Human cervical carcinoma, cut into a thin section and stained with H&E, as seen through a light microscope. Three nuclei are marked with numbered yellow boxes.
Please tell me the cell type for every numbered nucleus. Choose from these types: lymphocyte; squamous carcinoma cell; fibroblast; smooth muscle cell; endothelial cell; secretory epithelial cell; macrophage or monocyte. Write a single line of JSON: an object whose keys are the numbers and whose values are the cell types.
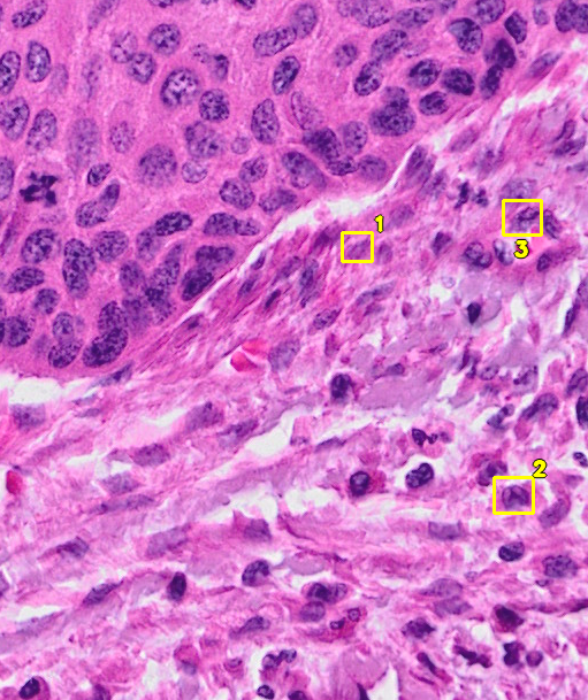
{"1": "fibroblast", "2": "macrophage or monocyte", "3": "endothelial cell"}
